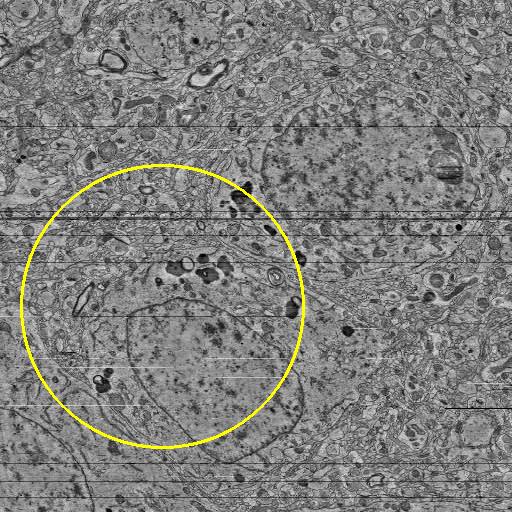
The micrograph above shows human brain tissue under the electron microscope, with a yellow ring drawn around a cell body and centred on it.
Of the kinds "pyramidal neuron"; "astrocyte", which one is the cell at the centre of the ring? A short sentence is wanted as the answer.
The one at the centre of the ring is a pyramidal neuron.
